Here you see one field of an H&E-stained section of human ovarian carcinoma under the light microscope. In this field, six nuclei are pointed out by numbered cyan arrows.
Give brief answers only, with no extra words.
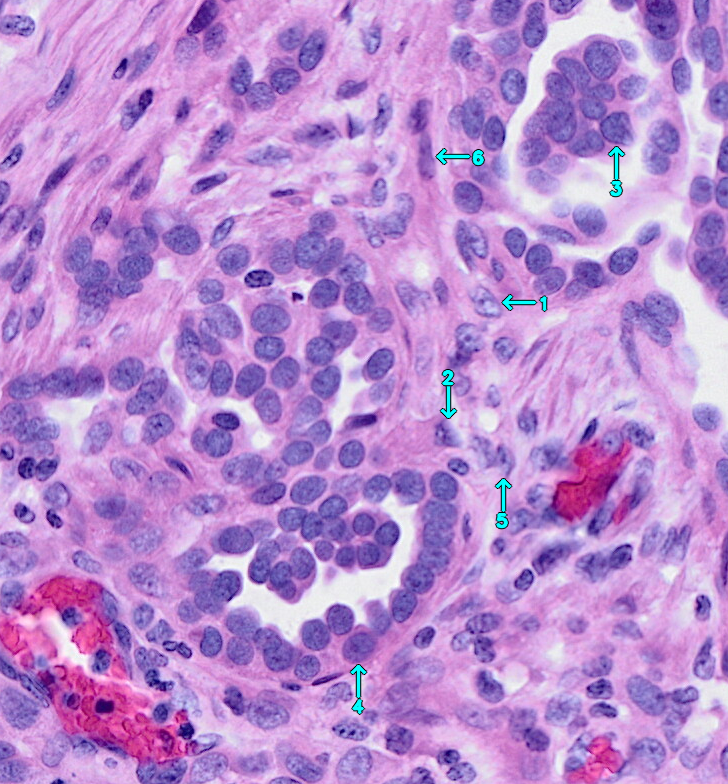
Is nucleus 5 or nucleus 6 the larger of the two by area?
6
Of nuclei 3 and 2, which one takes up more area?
3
